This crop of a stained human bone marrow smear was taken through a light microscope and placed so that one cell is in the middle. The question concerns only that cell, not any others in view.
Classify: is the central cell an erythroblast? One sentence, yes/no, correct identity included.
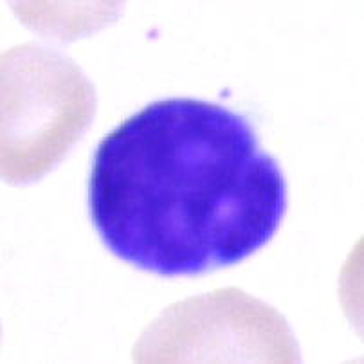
No, the central cell does not represent an erythroblast, but a lymphocyte.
